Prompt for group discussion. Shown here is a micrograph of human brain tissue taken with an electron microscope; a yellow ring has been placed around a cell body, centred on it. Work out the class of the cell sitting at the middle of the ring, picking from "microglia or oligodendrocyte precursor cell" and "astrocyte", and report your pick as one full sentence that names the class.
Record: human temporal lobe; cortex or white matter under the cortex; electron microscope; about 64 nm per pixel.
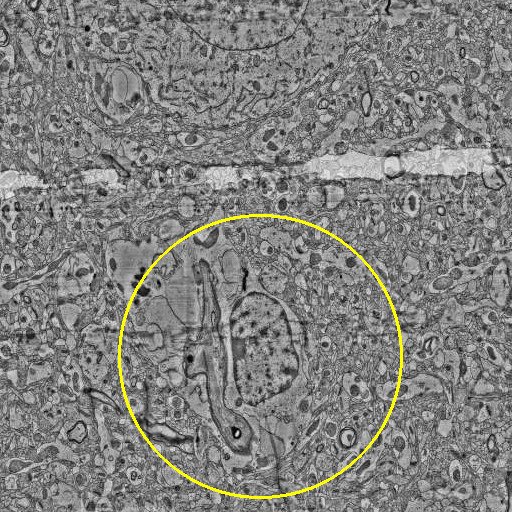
The cell sitting at the middle of the yellow ring is a microglial cell or oligodendrocyte precursor cell.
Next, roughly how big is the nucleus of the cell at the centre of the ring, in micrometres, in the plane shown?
The nucleus measures about 7 by 5 micrometres in this plane.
